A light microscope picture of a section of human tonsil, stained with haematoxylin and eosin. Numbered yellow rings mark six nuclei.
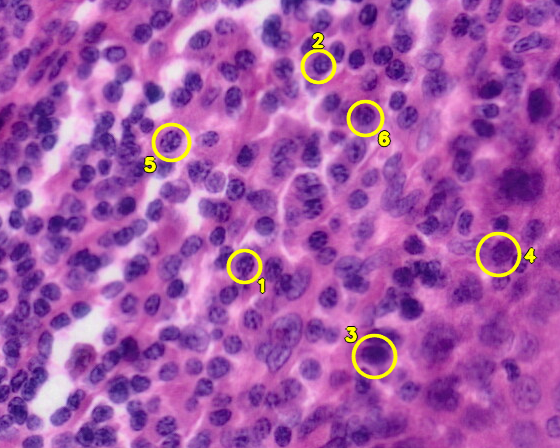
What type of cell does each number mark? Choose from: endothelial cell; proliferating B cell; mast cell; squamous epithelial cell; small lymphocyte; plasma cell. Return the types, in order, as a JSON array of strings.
["plasma cell", "plasma cell", "squamous epithelial cell", "squamous epithelial cell", "plasma cell", "plasma cell"]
